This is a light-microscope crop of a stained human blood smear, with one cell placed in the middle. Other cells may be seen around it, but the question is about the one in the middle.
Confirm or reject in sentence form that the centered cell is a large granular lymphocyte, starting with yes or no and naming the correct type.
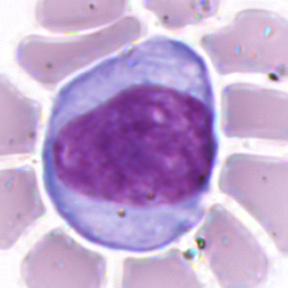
No, sorry, the middle cell is a plasma cell rather than a large granular lymphocyte.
